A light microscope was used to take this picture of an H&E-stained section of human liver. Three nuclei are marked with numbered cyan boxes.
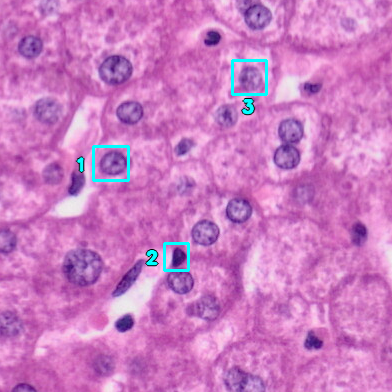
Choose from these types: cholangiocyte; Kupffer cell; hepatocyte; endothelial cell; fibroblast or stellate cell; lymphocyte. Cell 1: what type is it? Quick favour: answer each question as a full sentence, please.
The cell that goes by number 1 is a hepatocyte.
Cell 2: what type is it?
The cell bearing label 2 corresponds to a fibroblast or stellate cell.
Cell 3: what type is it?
Heads up, the cell numbered 3 is a hepatocyte.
